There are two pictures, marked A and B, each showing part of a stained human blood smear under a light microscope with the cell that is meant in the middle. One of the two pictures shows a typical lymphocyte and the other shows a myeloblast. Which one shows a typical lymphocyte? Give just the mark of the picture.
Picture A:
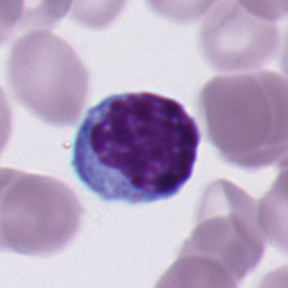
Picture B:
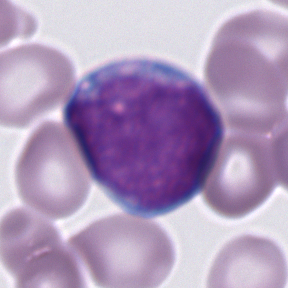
A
